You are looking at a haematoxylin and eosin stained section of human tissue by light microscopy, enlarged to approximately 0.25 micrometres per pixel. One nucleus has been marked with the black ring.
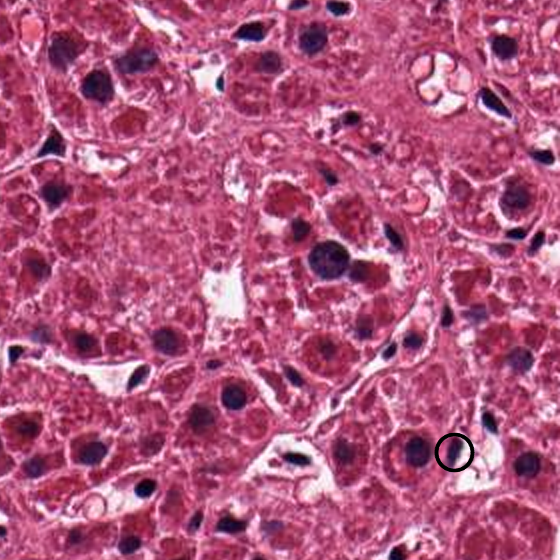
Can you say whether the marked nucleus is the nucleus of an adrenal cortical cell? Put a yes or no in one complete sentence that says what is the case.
No, for the marked nucleus, the owning cell is a supporting cell, not an adrenal cortical cell.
